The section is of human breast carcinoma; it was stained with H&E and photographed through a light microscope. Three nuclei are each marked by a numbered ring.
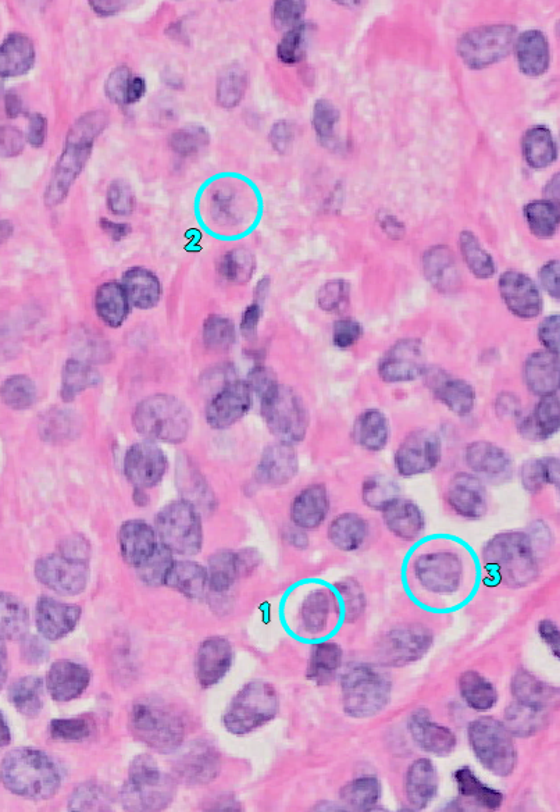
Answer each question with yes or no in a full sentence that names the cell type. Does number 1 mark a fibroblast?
No, the cell carrying number 1 is a carcinoma cell, not a fibroblast.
